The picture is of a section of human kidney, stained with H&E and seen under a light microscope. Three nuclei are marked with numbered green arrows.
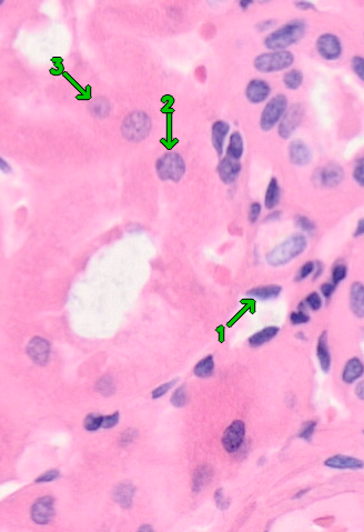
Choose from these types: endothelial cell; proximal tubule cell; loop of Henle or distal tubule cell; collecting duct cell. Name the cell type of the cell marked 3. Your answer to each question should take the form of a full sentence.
The cell that bears the number 3 is a proximal tubule cell.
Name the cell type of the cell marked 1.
Numbered cell 1 is an endothelial cell in this tissue section.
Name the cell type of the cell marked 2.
Belonging to a proximal tubule cell is the nucleus that carries the number 2.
